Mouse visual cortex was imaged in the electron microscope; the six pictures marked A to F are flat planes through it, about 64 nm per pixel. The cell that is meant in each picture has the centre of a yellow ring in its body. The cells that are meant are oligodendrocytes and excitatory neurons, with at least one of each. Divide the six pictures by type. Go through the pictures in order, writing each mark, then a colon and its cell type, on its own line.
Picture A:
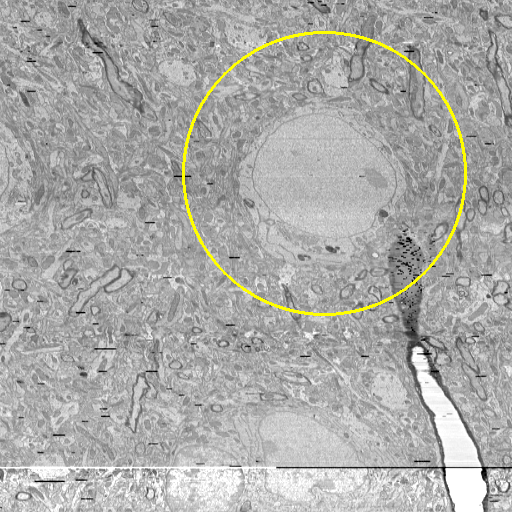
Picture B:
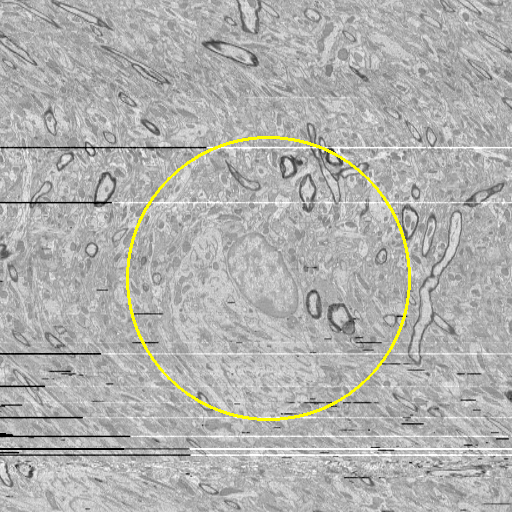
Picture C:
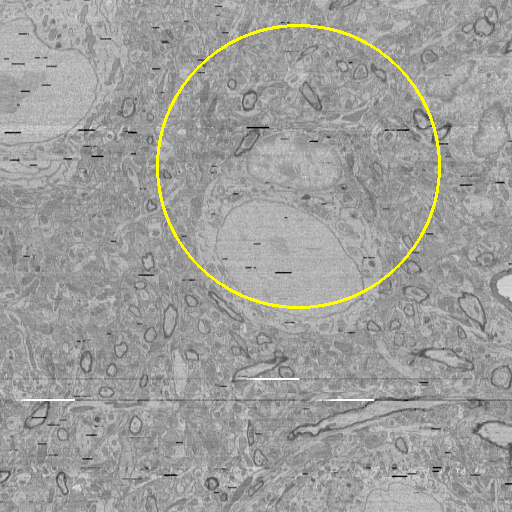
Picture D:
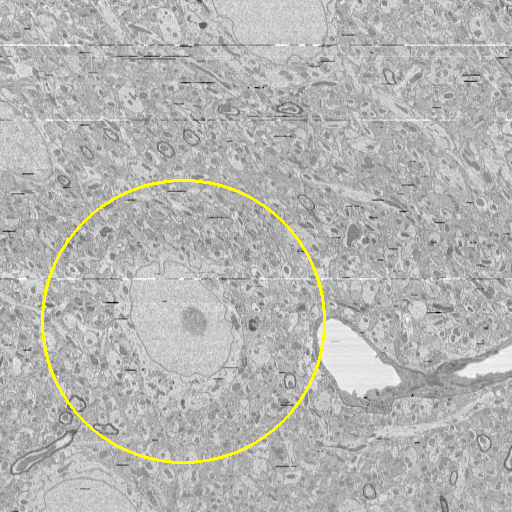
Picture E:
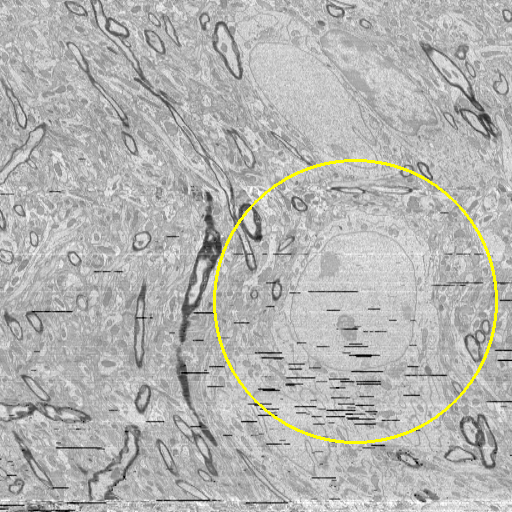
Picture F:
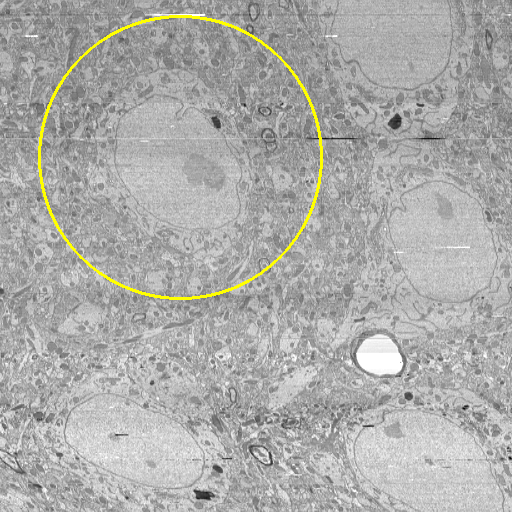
A: excitatory neuron
B: oligodendrocyte
C: oligodendrocyte
D: excitatory neuron
E: excitatory neuron
F: excitatory neuron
